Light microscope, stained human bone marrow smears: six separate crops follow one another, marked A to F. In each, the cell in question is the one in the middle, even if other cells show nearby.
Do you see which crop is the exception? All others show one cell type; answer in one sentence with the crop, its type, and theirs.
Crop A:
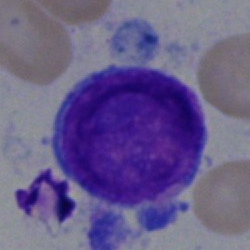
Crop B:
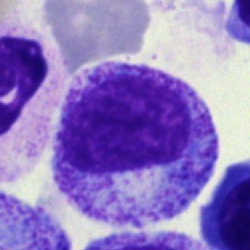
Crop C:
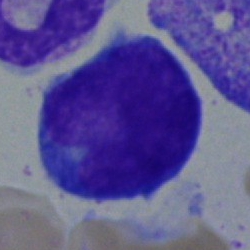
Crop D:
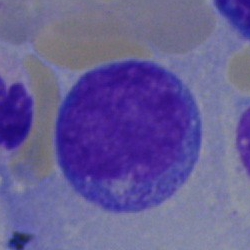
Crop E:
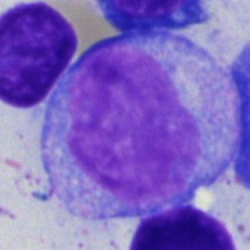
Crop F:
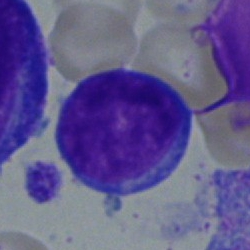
Of the crops, all show blasts save crop B, which shows a myelocyte.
